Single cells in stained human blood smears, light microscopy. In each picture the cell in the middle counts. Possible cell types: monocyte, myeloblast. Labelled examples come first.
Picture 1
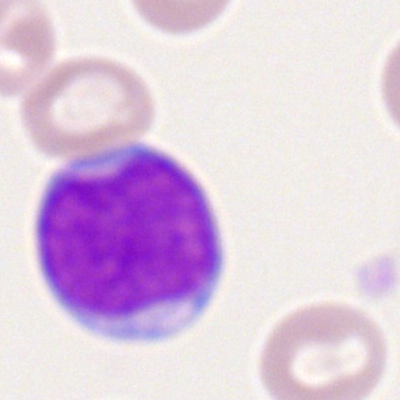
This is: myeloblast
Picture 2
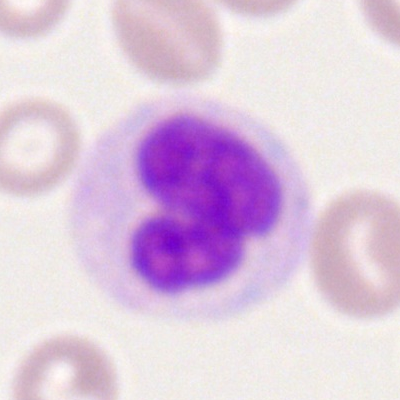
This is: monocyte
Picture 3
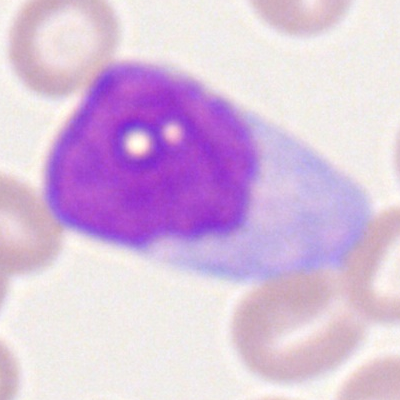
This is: monocyte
